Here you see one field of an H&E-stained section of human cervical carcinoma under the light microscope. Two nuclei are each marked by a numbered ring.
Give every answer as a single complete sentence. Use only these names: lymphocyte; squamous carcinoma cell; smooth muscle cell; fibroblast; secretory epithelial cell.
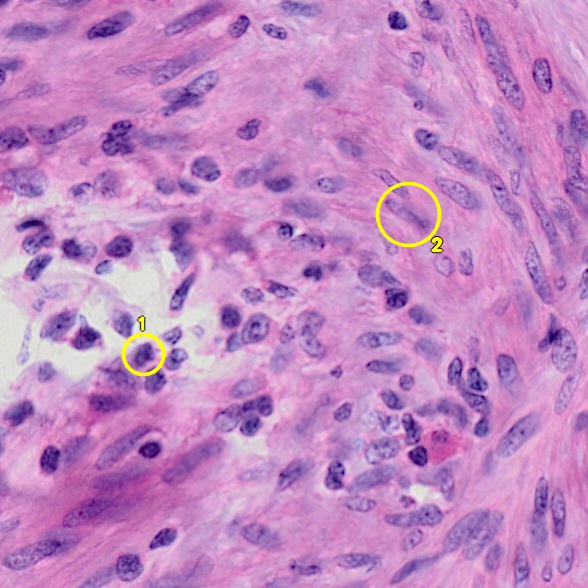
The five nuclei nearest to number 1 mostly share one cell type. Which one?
Of the five nuclei nearest to number 1, most belong to lymphocytes.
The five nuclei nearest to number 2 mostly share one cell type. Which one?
Smooth muscle cells account for more than half of the five nuclei nearest to number 2.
